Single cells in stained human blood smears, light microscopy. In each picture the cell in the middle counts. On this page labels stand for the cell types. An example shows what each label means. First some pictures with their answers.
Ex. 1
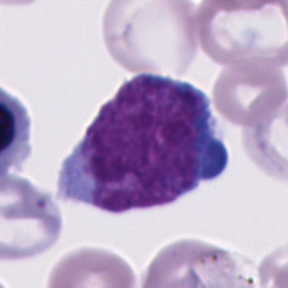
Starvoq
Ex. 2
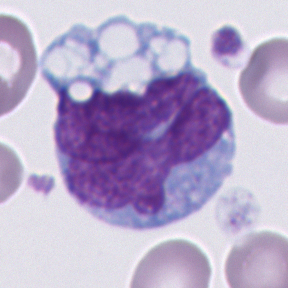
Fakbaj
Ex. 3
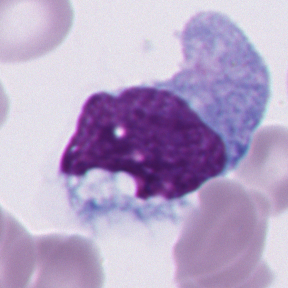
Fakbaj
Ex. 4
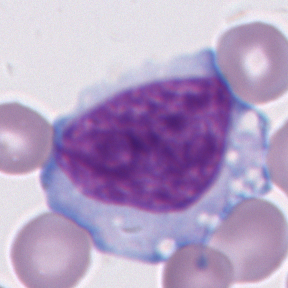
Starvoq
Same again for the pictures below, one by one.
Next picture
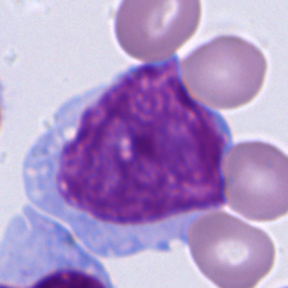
Starvoq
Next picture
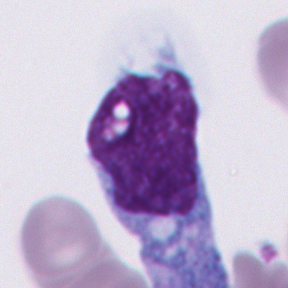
Fakbaj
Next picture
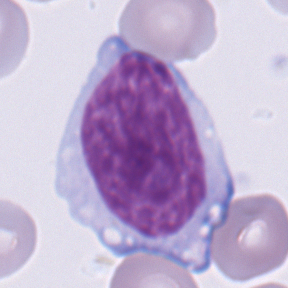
Starvoq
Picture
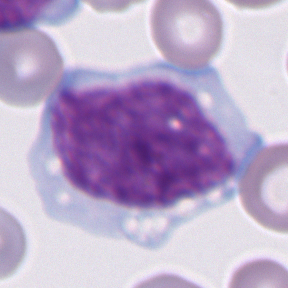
Starvoq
